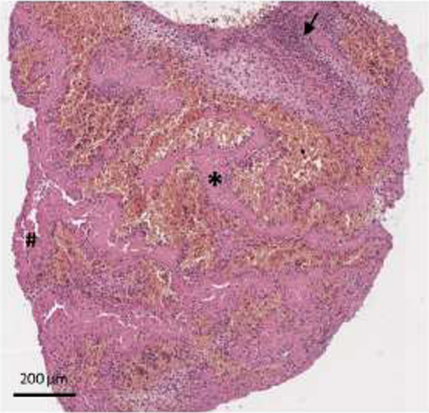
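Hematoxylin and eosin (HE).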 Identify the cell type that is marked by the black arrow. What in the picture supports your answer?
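The arrow points to a band crowded with small dark purple nuclei.
Conclusion: leucocytes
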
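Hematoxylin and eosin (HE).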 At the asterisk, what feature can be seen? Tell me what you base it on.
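The asterisk lies on pale pink bands that wind between red-cell-rich zones. Pale pink and red layers alternate across the clot. The answer: Zahn lines.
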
